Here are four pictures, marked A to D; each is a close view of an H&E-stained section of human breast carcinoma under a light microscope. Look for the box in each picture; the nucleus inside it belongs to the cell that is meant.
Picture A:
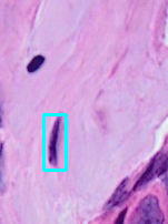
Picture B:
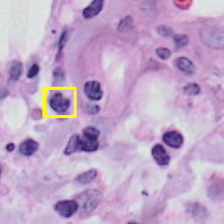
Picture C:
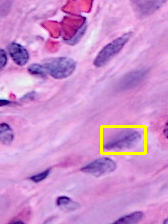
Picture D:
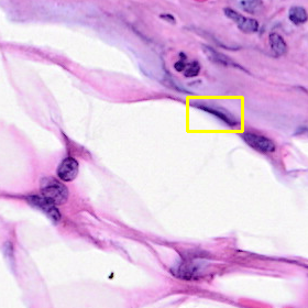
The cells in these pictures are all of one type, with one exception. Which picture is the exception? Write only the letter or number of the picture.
B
